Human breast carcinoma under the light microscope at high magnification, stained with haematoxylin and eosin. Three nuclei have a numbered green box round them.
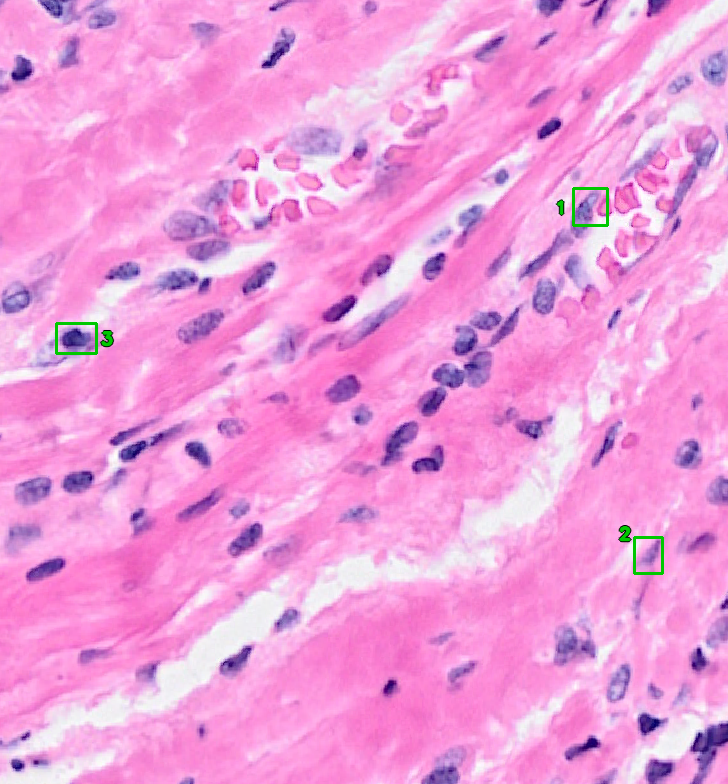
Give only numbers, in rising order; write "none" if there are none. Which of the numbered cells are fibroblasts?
2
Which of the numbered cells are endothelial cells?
1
